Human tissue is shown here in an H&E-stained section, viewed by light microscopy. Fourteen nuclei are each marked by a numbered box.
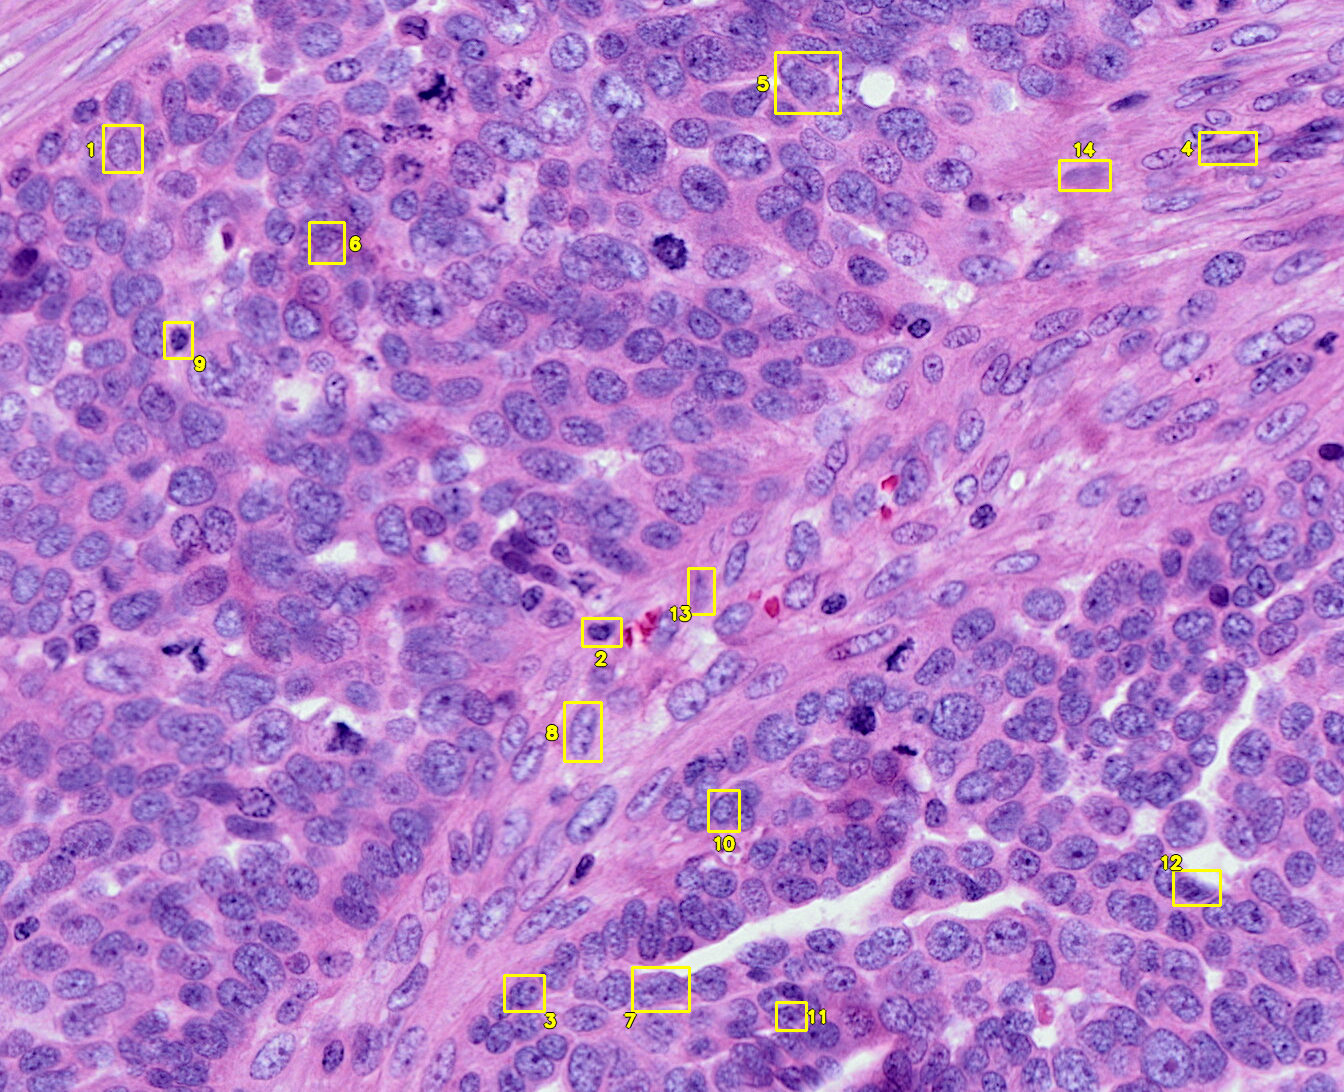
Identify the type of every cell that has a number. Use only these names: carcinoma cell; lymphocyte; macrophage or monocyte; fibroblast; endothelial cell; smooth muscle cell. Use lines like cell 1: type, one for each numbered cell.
cell 1: carcinoma cell
cell 2: lymphocyte
cell 3: carcinoma cell
cell 4: endothelial cell
cell 5: carcinoma cell
cell 6: carcinoma cell
cell 7: carcinoma cell
cell 8: fibroblast
cell 9: lymphocyte
cell 10: carcinoma cell
cell 11: carcinoma cell
cell 12: carcinoma cell
cell 13: fibroblast
cell 14: fibroblast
